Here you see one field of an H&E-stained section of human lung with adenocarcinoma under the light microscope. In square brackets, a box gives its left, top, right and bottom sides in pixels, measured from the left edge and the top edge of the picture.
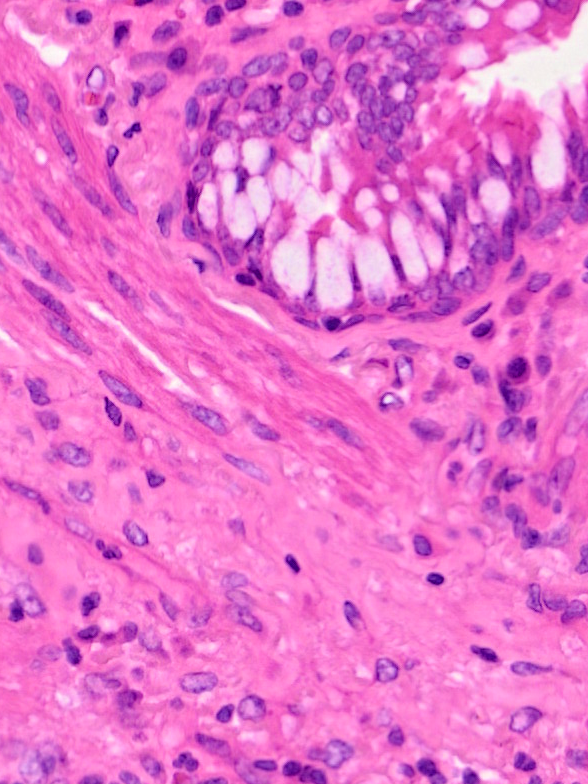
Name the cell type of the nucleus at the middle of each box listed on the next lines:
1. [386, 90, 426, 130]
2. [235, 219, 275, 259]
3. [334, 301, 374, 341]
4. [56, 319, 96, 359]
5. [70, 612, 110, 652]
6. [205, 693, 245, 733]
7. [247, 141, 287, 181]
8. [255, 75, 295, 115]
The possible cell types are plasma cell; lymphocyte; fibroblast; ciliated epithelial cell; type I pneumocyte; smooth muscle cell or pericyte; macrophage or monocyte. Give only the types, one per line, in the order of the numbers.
ciliated epithelial cell
ciliated epithelial cell
ciliated epithelial cell
smooth muscle cell or pericyte
plasma cell
lymphocyte
ciliated epithelial cell
ciliated epithelial cell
